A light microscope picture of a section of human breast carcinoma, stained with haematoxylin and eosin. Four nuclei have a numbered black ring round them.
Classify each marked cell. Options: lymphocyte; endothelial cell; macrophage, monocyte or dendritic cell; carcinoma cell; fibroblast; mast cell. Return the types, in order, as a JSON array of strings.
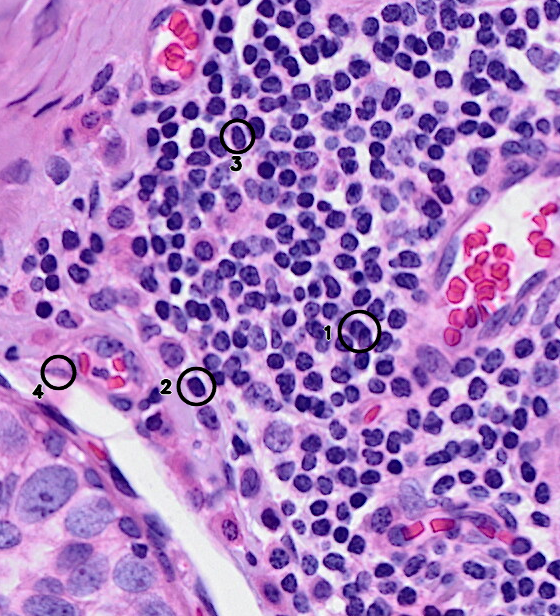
["lymphocyte", "lymphocyte", "lymphocyte", "endothelial cell"]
